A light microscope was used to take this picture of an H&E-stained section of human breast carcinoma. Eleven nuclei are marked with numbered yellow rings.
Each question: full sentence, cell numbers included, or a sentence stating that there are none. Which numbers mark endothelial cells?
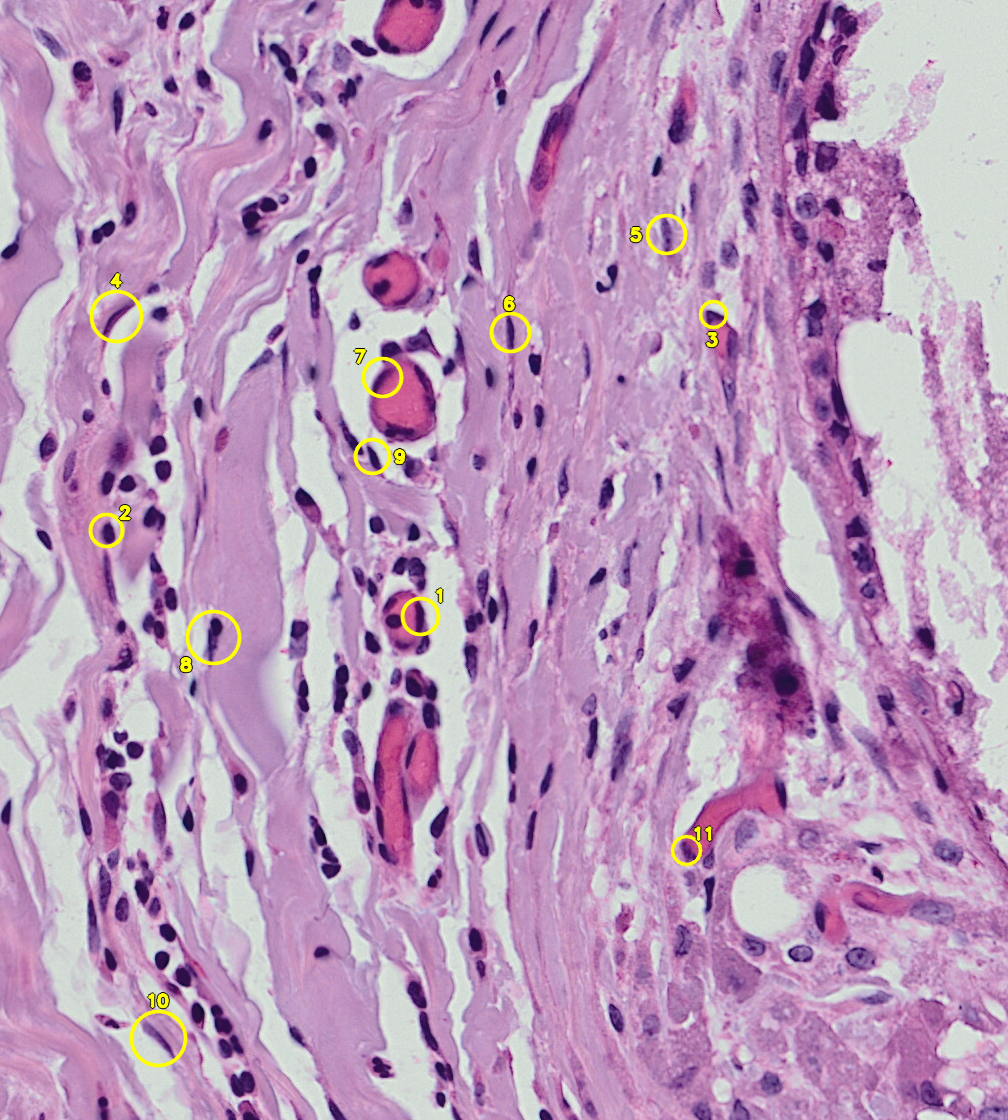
The cells that have been numbered 1, 3, 7 and 11 are endothelial cells.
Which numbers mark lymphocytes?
Being a lymphocyte is true of cell 2 and of no other numbered cell.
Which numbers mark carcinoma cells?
The numbered set holds no carcinoma cells whatsoever.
